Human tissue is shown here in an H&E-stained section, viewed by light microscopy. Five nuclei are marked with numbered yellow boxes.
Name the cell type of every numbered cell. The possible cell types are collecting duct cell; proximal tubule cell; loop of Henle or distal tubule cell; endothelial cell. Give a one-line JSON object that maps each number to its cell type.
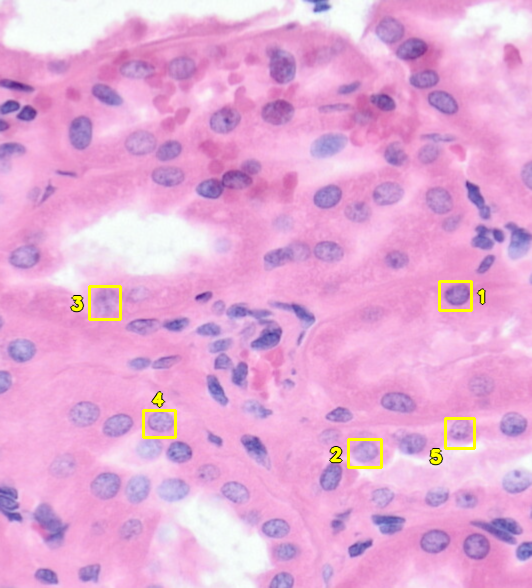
{"1": "proximal tubule cell", "2": "loop of Henle or distal tubule cell", "3": "proximal tubule cell", "4": "loop of Henle or distal tubule cell", "5": "loop of Henle or distal tubule cell"}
